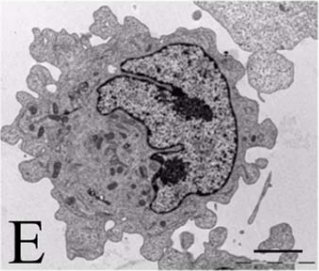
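A single cell is seen in thin section with a curved, indented nucleus containing dark chromatin clumps, surrounded by a broader cytoplasm holding small dark organelles. Its outline is ruffled by many short finger-like projections all around the surface.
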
